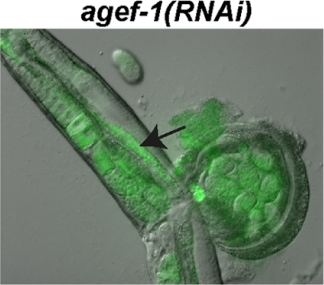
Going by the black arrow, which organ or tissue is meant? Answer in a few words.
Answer: Intestine.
